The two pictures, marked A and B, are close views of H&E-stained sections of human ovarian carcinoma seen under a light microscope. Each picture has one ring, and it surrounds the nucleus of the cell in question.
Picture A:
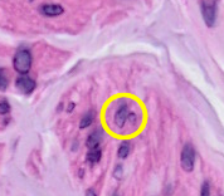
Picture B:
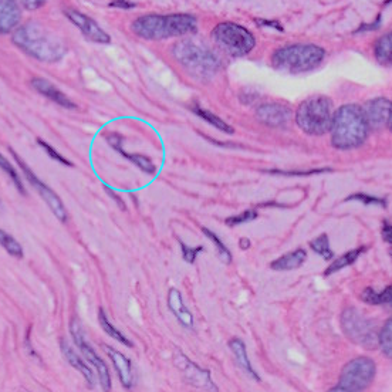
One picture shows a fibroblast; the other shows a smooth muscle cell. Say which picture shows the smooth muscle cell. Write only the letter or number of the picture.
A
